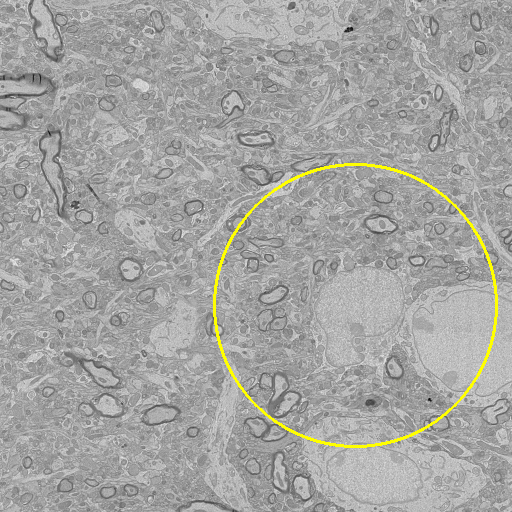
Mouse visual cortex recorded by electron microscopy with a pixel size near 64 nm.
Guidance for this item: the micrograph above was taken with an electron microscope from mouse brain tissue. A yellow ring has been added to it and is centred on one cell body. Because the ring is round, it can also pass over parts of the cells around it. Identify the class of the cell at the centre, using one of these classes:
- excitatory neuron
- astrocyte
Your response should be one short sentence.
The ring surrounds the body of an astrocyte.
